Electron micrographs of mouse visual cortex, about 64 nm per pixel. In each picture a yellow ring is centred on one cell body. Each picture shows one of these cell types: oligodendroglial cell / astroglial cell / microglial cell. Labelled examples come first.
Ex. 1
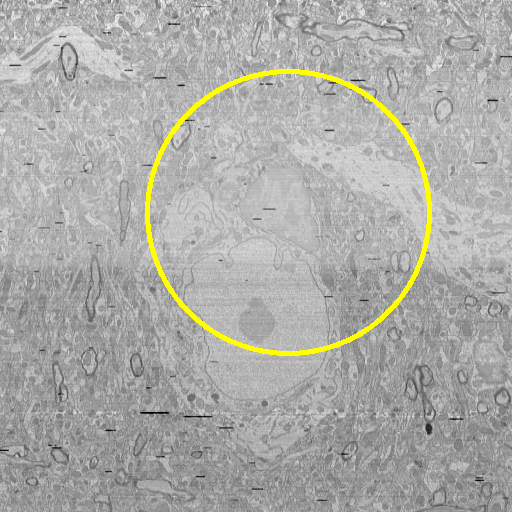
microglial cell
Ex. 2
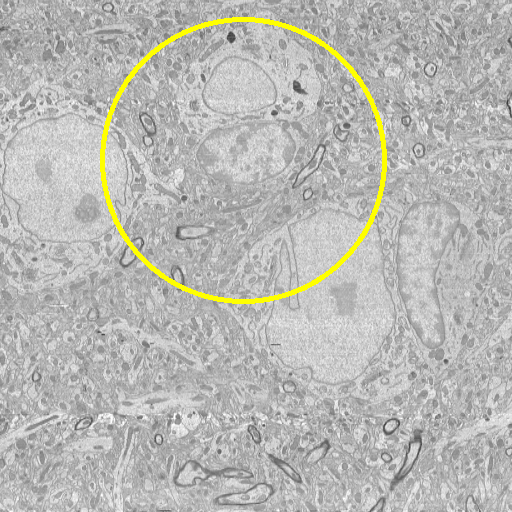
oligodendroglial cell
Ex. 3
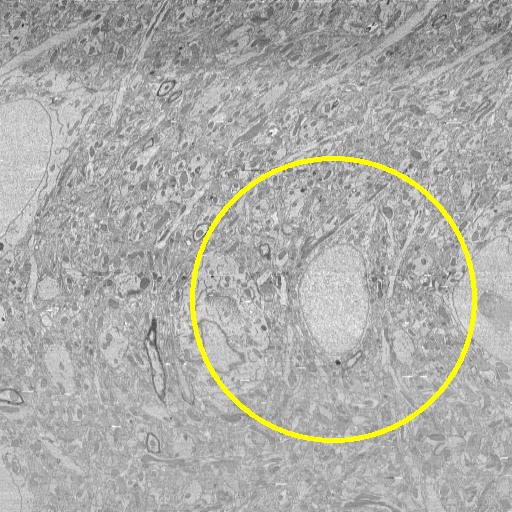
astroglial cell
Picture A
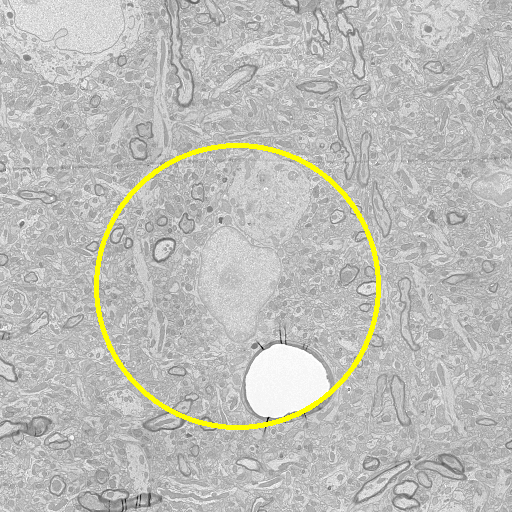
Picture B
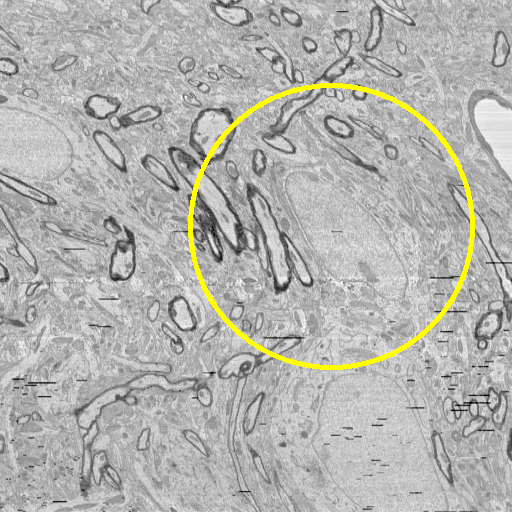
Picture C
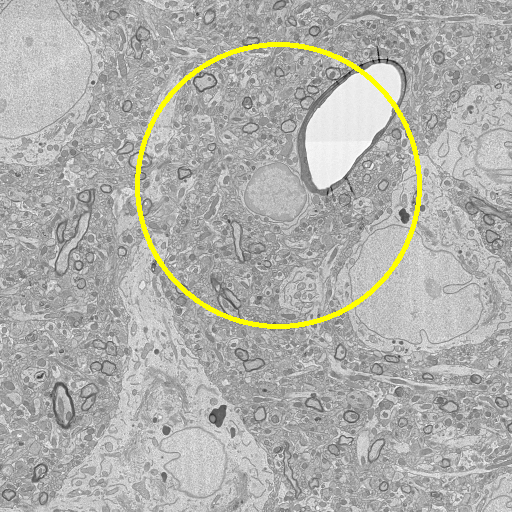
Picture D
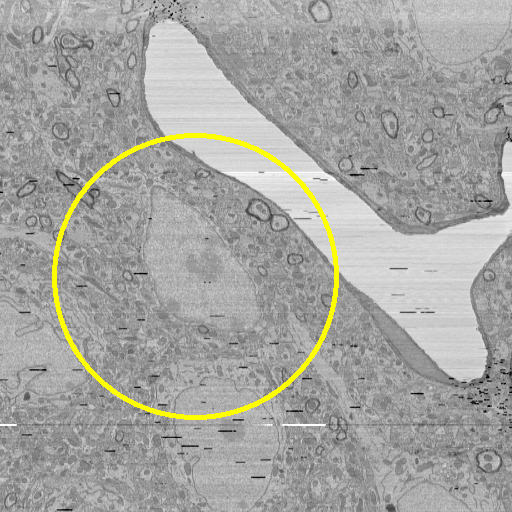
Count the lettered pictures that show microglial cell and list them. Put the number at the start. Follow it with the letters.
1, namely C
